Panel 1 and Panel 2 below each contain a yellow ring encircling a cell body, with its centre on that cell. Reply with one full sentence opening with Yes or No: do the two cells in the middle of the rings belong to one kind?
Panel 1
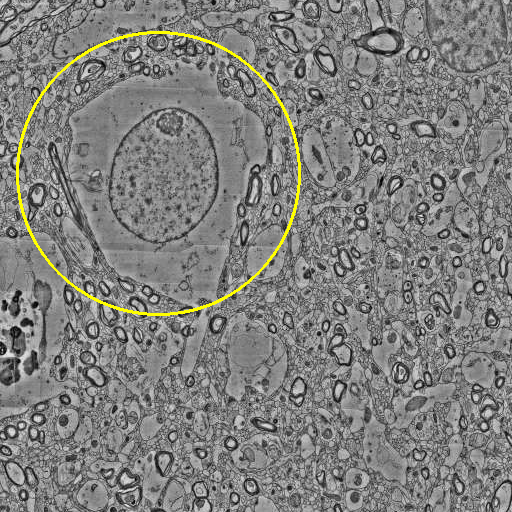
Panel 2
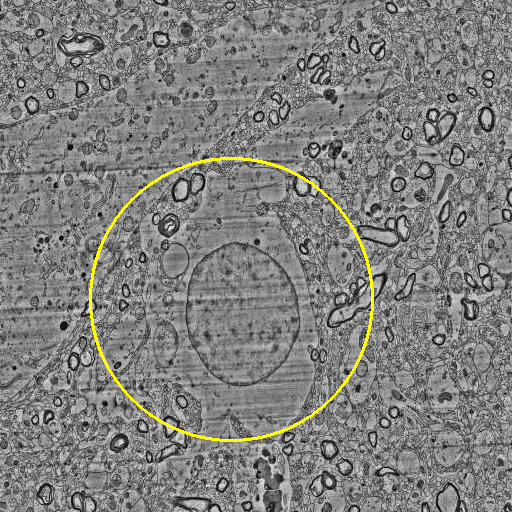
Yes, the cells at the middle of the Panel 1 ring and the Panel 2 ring are of one kind.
